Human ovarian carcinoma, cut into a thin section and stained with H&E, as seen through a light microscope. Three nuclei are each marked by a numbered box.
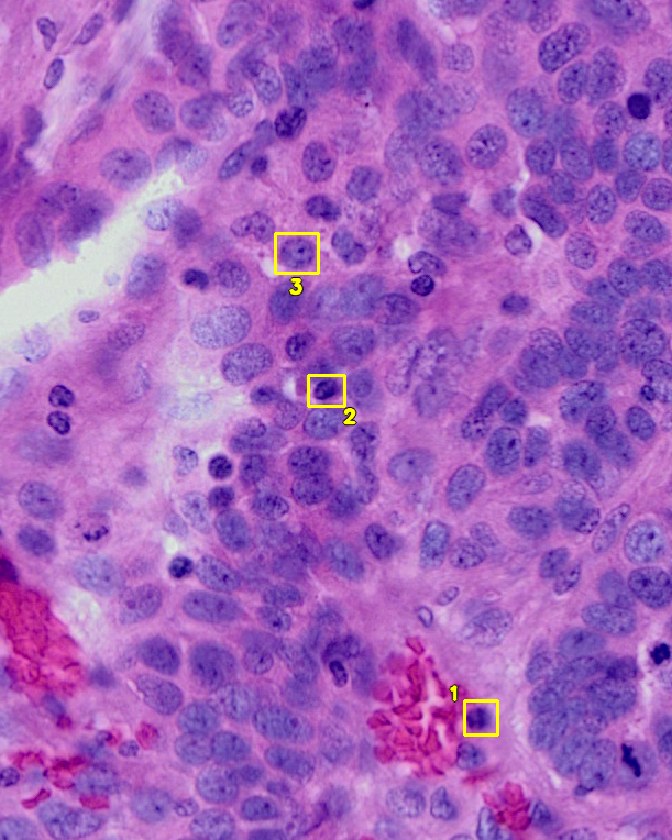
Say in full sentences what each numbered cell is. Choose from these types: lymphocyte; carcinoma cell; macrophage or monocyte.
Cell 1 is a lymphocyte, cell 2 is a lymphocyte and cell 3 is a macrophage or monocyte.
